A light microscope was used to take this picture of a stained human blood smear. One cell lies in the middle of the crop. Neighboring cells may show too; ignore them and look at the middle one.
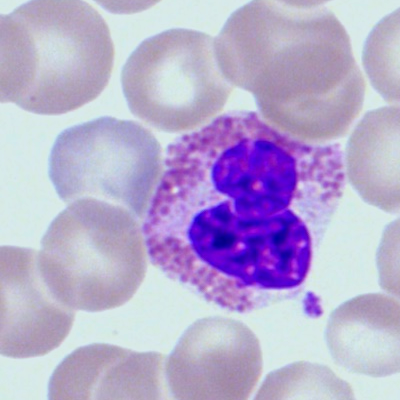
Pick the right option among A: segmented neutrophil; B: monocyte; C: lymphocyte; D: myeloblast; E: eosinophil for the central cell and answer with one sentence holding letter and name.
Since the middle cell is an eosinophil, option E is the right one.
